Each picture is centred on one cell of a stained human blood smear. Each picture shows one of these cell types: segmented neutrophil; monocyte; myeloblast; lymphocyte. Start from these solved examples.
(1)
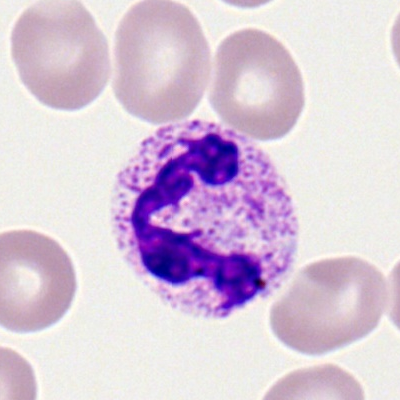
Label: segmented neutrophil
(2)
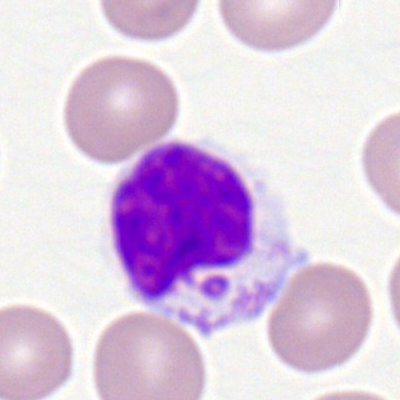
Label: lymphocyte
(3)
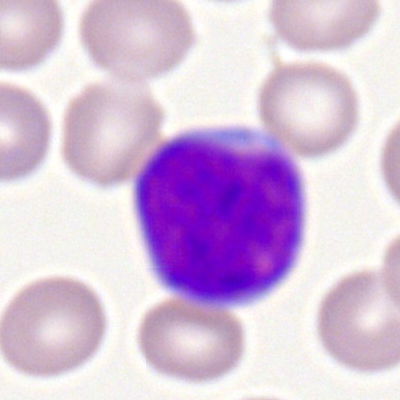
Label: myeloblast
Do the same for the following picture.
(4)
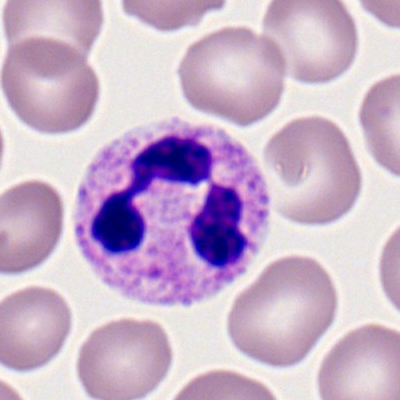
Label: segmented neutrophil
